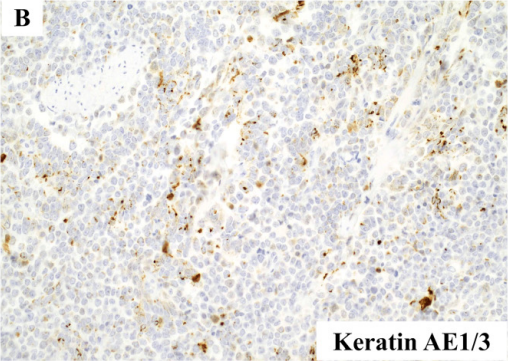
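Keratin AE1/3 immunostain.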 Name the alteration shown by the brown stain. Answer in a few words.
Dot-like staining pattern.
